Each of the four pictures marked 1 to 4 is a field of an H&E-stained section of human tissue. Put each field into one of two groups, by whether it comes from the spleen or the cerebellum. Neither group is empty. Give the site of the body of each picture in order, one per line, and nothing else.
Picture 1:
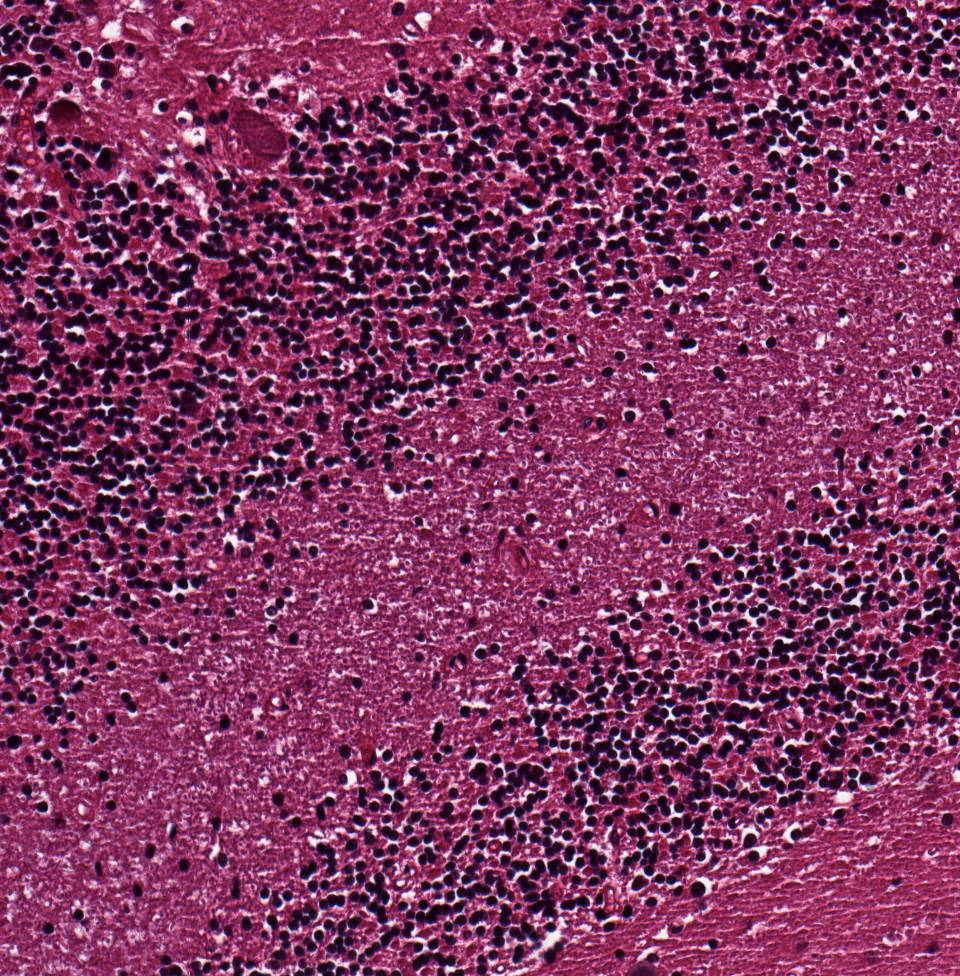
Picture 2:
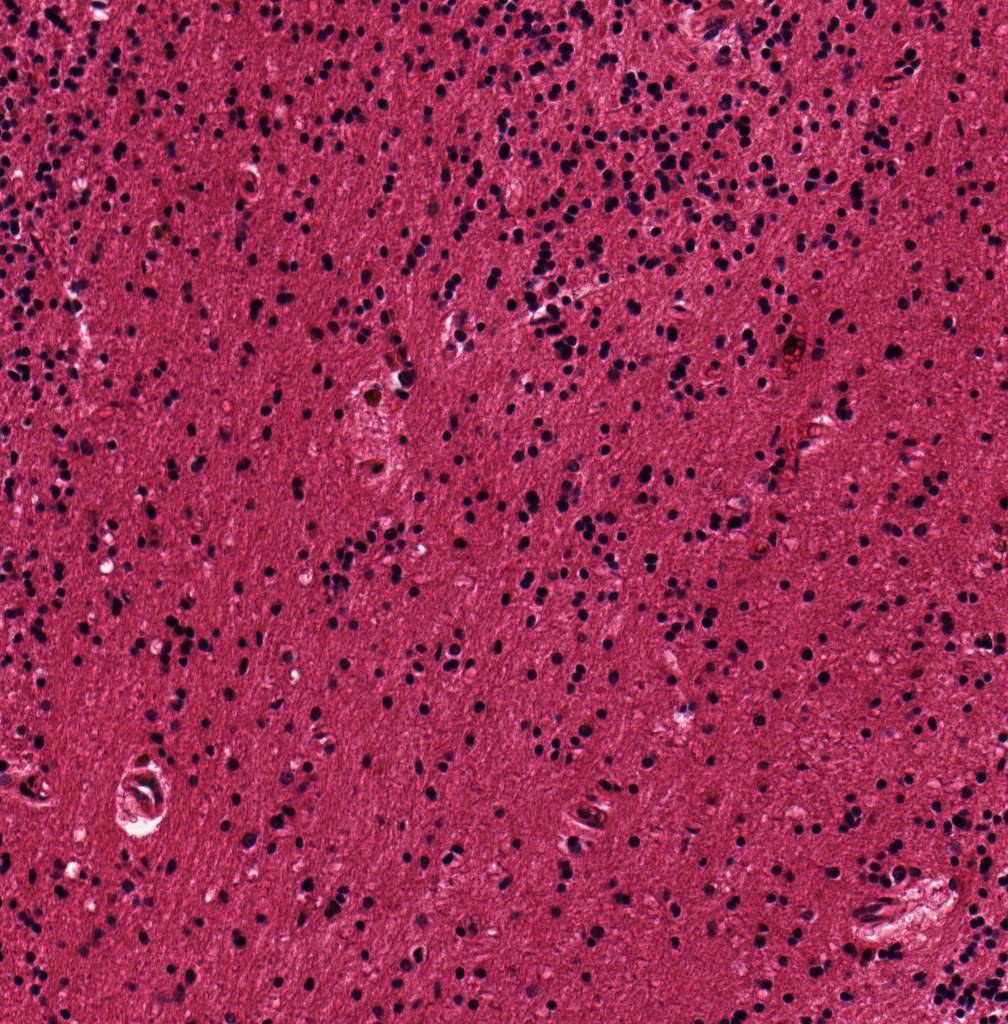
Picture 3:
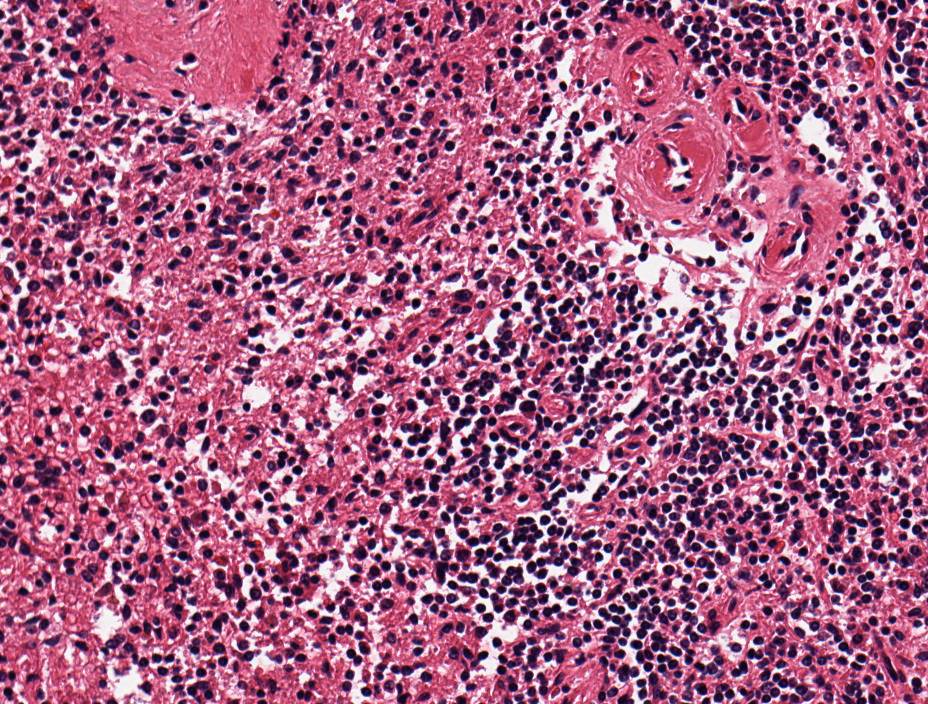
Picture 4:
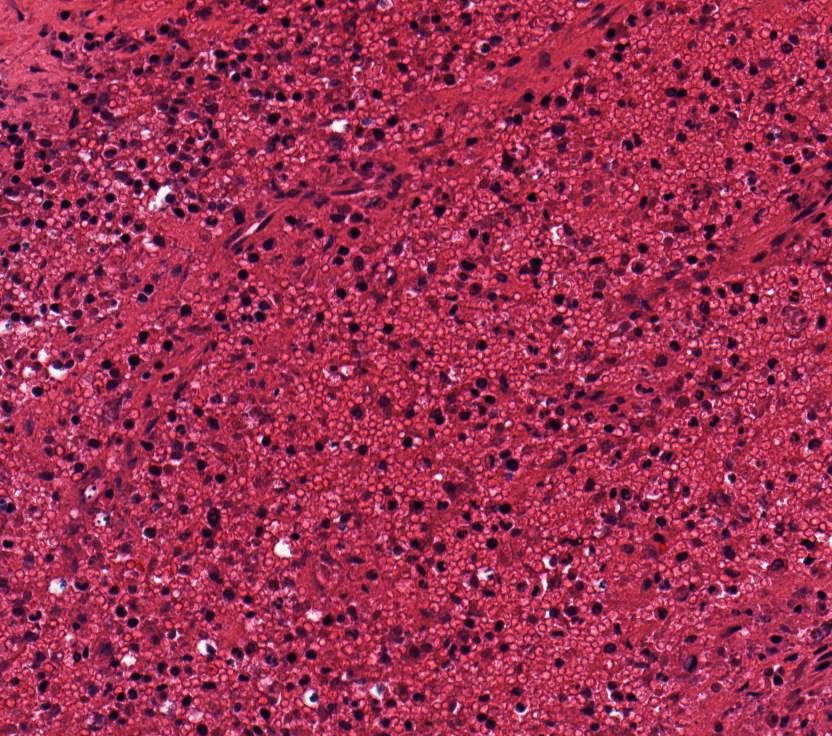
cerebellum
cerebellum
spleen
spleen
